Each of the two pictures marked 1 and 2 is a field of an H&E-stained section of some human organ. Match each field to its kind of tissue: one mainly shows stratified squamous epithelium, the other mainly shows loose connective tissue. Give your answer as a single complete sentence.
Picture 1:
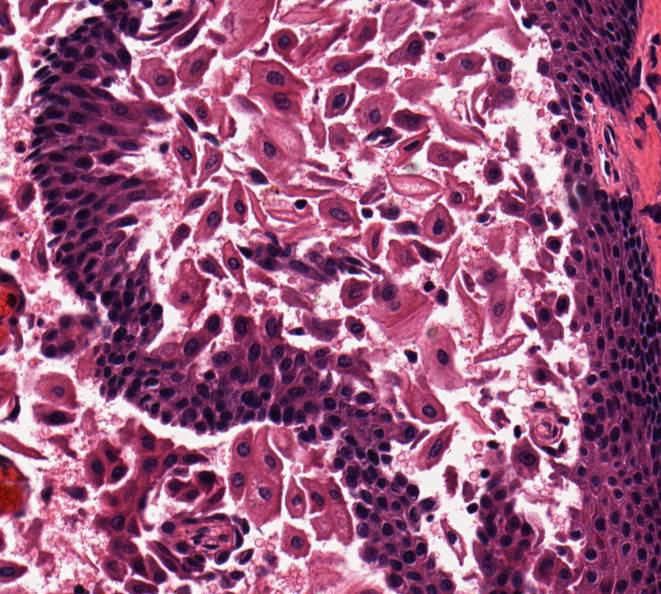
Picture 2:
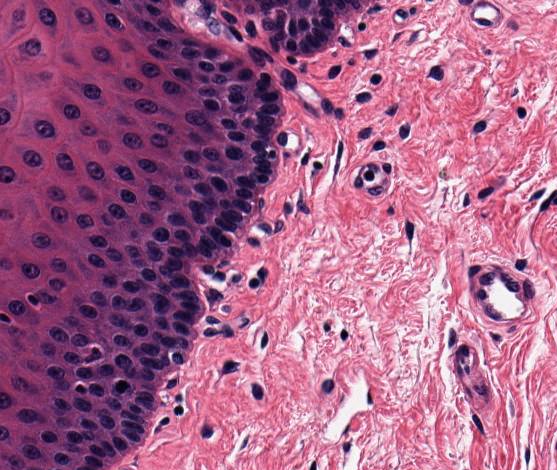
Picture 2 mainly shows loose connective tissue, while picture 1 mainly shows stratified squamous epithelium.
